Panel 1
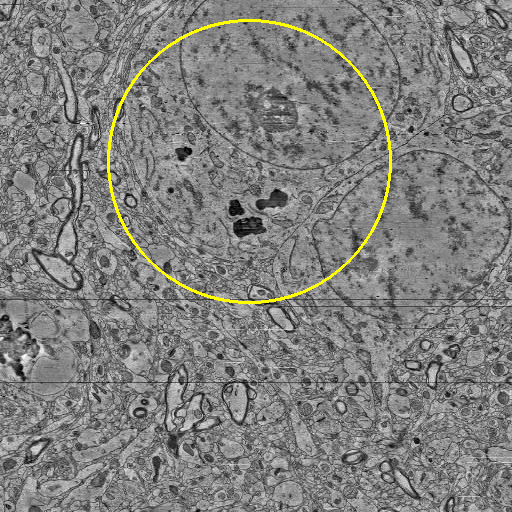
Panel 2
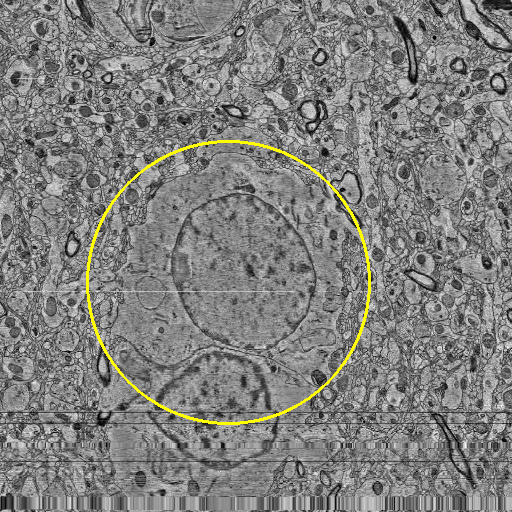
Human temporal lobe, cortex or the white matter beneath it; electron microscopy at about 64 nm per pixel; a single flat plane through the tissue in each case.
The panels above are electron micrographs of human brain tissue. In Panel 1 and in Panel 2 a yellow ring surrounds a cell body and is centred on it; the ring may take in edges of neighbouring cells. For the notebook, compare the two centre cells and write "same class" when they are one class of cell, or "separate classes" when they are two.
separate classes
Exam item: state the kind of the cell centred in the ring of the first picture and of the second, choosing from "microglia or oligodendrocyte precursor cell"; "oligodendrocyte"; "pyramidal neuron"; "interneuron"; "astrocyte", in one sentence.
The first picture shows a pyramidal neuron at the ring centre and the second shows an astrocyte.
